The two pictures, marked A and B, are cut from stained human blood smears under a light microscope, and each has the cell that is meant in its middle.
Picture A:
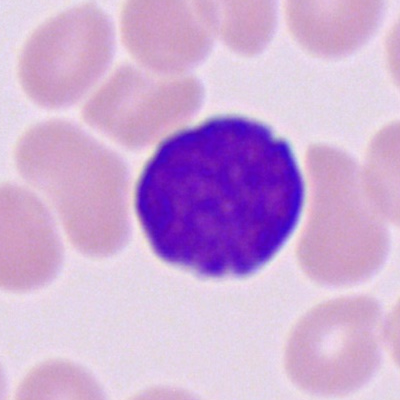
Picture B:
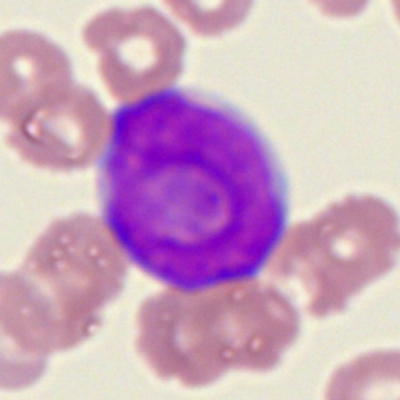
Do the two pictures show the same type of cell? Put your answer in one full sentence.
Yes, they are the same type: both are myeloblasts.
